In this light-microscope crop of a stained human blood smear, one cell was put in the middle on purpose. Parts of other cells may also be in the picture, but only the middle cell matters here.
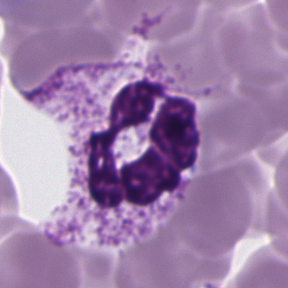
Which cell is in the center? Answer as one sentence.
The target cell in the middle of the crop is a segmented neutrophil.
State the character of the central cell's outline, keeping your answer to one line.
Projections or ragged segments give this cell an irregular rather than smooth border.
